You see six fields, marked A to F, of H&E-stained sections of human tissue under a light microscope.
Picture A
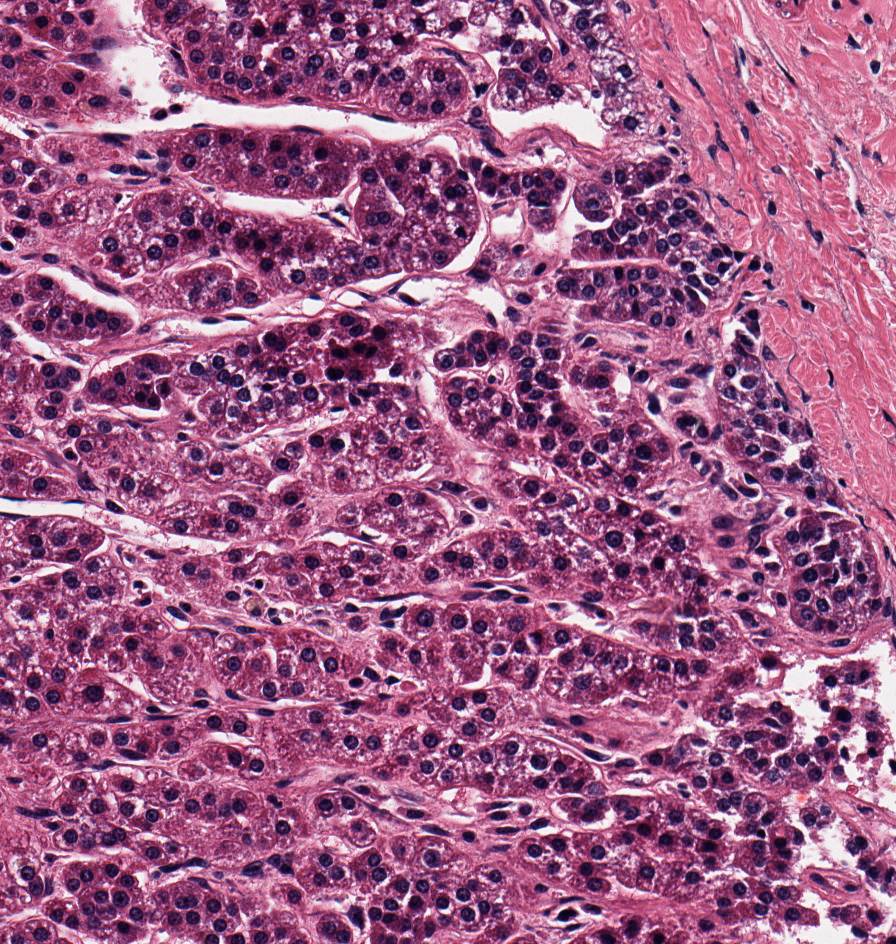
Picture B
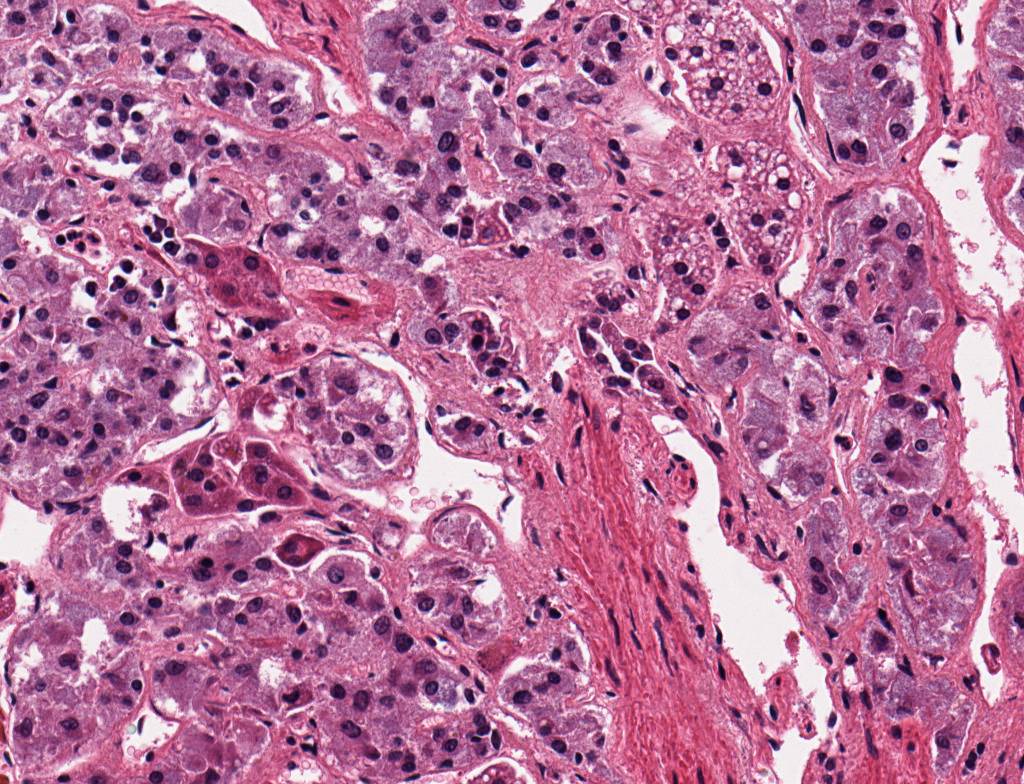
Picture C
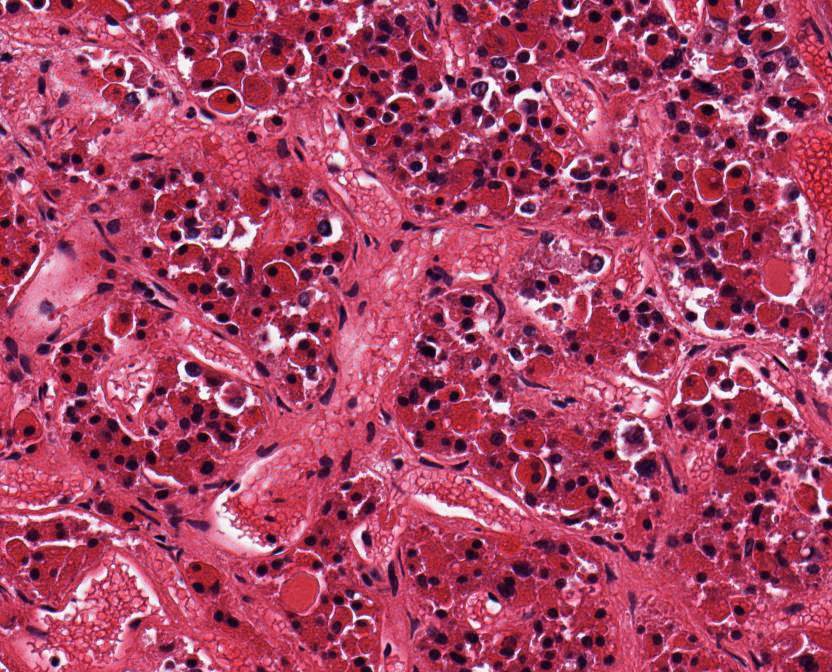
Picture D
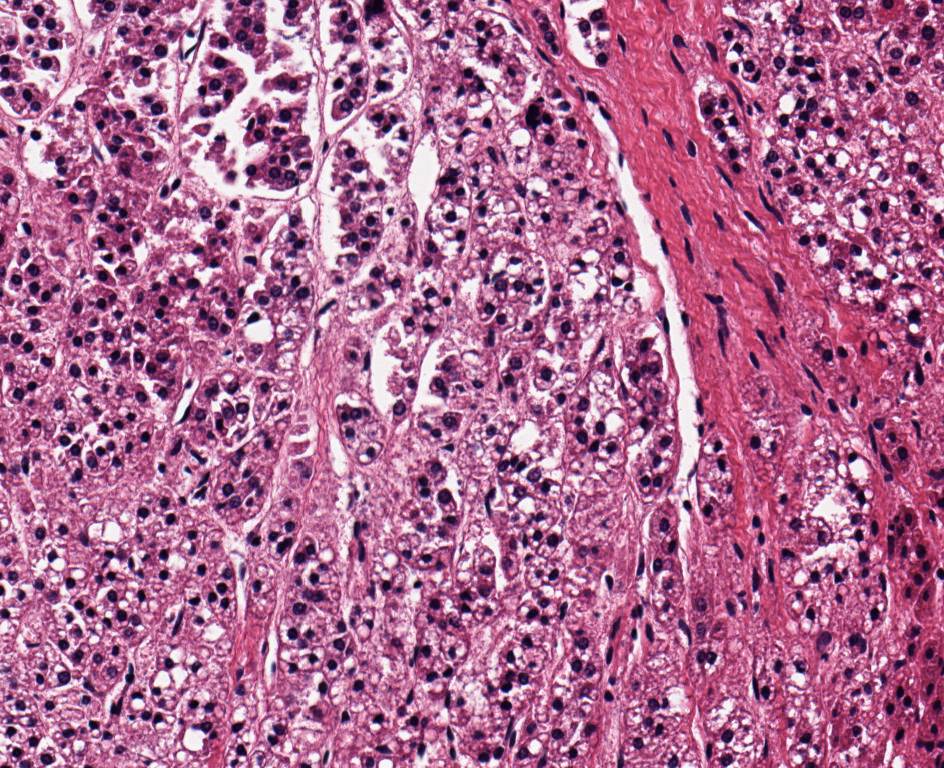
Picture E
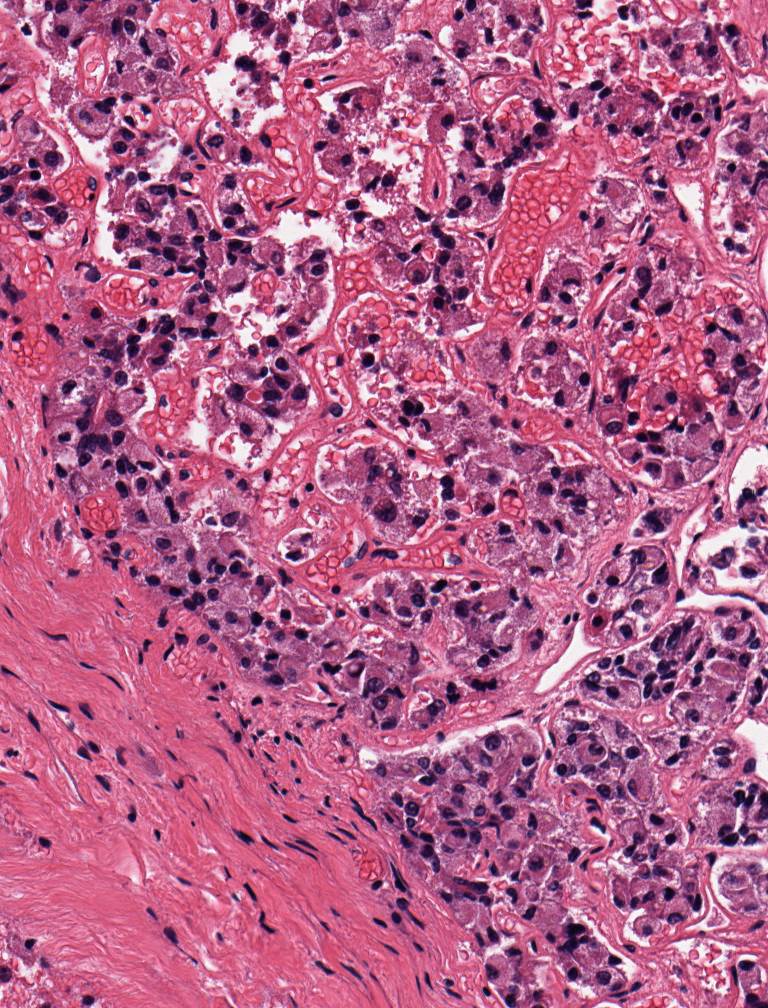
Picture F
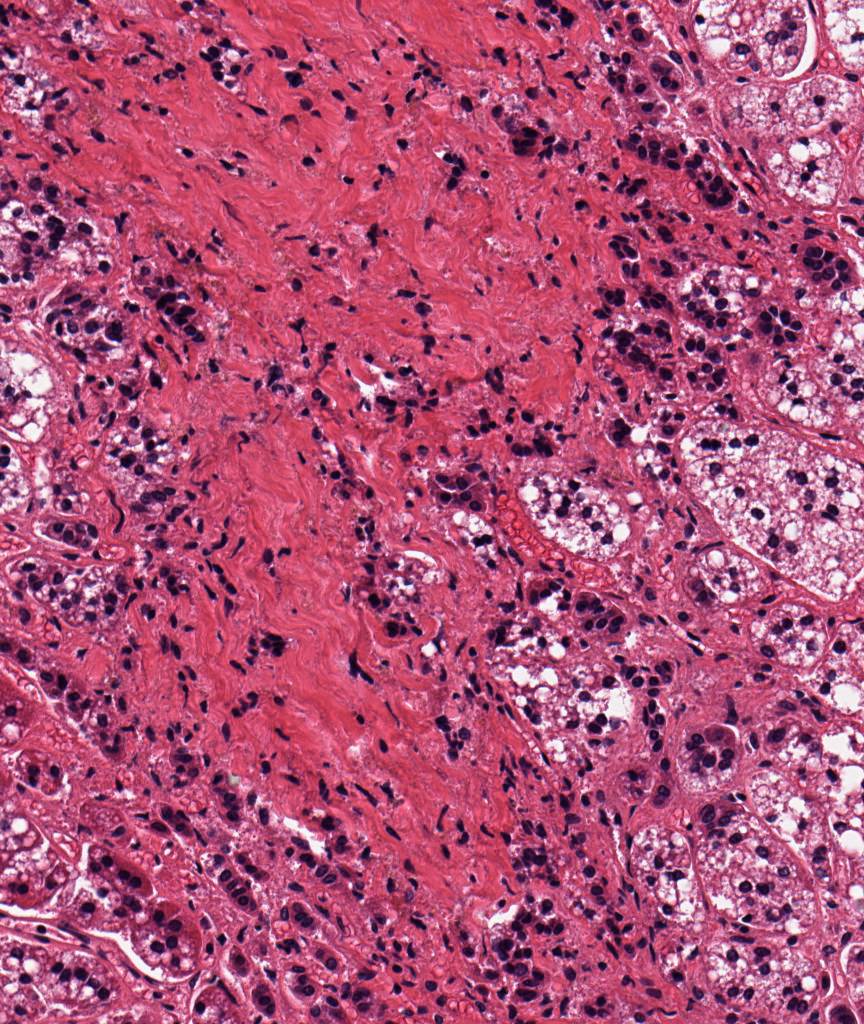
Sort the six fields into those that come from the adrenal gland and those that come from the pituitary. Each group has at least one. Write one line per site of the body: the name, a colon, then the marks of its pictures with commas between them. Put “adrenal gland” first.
adrenal gland: A, B, D, F
pituitary: C, E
